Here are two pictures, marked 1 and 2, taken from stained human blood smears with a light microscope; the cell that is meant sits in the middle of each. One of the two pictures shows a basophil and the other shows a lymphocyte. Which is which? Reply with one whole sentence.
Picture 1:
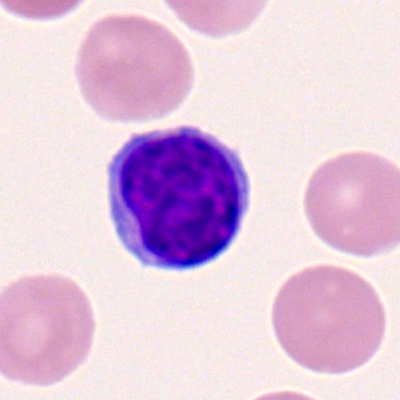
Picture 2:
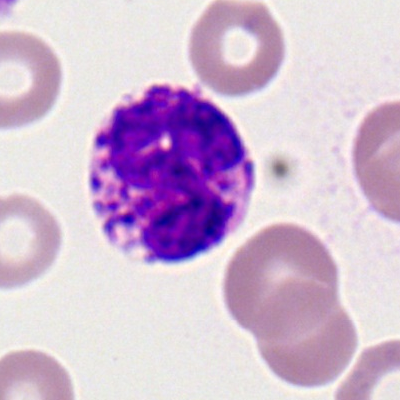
The cell in picture 1 is a lymphocyte, and the one in picture 2 is a basophil.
